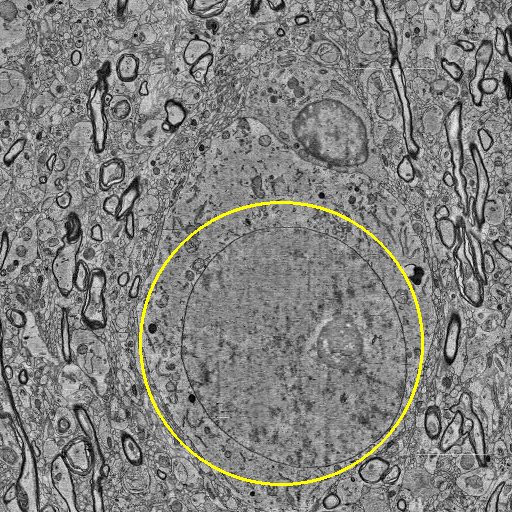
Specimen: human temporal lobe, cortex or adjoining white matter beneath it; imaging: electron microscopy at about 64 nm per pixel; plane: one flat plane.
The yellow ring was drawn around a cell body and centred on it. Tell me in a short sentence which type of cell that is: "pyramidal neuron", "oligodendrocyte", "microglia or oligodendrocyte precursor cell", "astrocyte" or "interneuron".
The cell at the ring's centre is a pyramidal neuron.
